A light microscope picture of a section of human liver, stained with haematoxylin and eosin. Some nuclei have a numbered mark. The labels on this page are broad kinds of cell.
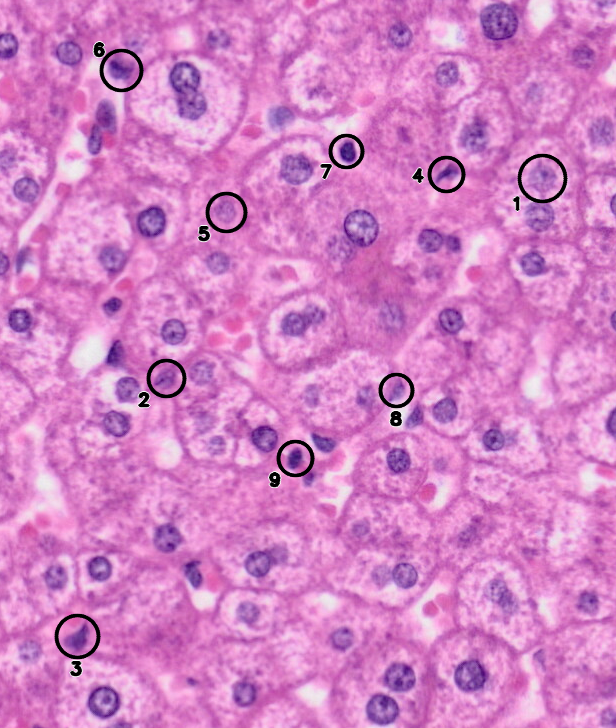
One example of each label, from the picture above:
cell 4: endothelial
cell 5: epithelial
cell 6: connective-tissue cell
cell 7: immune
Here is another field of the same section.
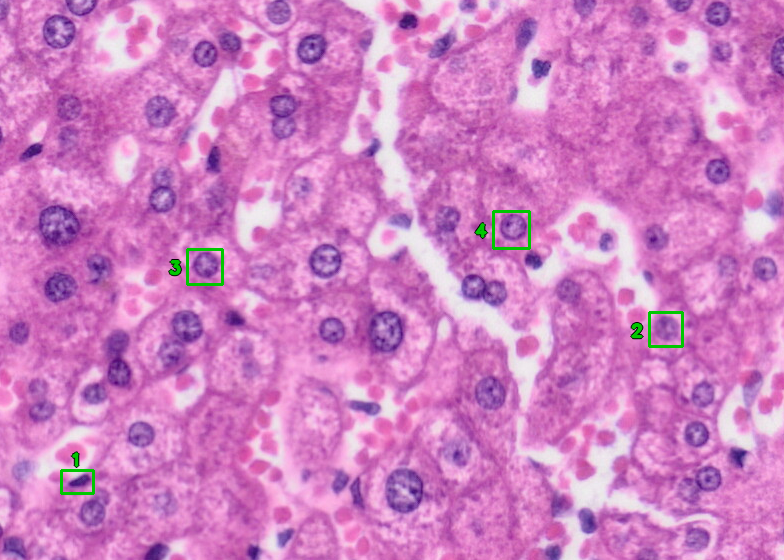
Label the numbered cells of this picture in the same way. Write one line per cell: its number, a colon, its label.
1: connective-tissue cell
2: epithelial
3: epithelial
4: epithelial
